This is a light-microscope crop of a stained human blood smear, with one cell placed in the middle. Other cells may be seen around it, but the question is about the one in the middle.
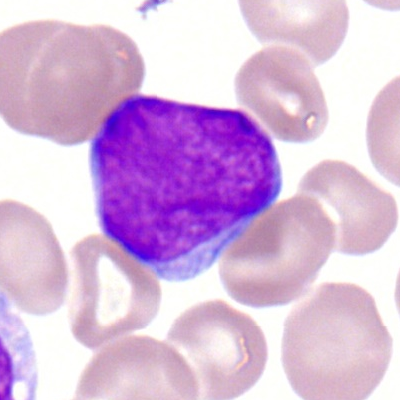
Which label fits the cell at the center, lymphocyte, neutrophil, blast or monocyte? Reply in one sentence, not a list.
The cell of interest, in the center, is a blast.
